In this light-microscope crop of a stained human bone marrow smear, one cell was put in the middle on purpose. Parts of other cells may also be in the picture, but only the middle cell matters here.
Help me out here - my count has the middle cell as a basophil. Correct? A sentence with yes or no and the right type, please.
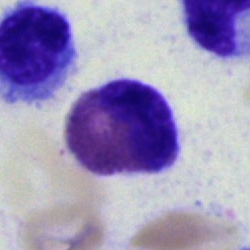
Yes, the cell located at the center is a basophil.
